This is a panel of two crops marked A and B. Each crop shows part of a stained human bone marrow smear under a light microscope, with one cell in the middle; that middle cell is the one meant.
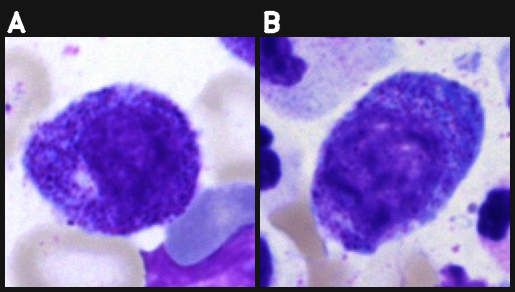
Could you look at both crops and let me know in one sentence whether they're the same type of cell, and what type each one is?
Yes, promyelocytes are depicted in both crops.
